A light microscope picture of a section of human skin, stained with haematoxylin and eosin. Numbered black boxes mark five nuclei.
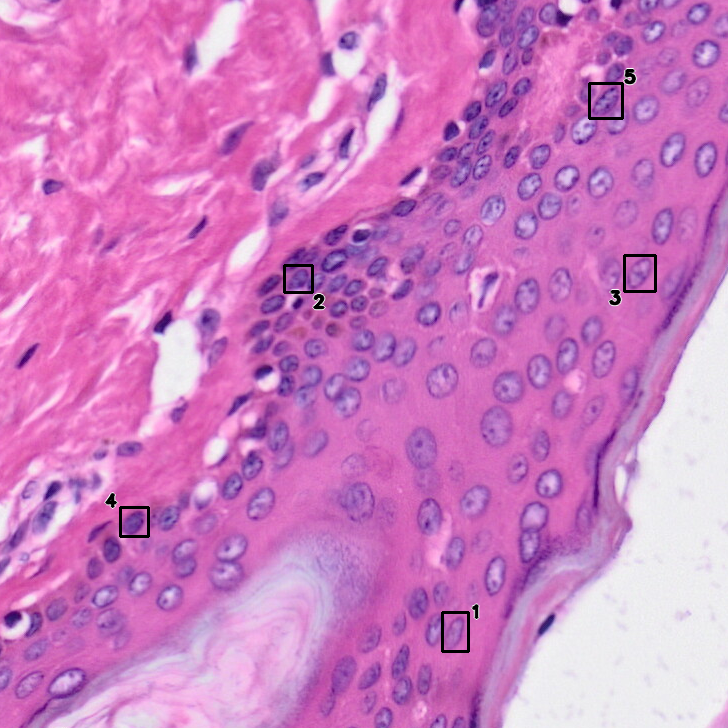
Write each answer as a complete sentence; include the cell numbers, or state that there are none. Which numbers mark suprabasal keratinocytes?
The cells marked 1 and 3 in the section are suprabasal keratinocytes.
